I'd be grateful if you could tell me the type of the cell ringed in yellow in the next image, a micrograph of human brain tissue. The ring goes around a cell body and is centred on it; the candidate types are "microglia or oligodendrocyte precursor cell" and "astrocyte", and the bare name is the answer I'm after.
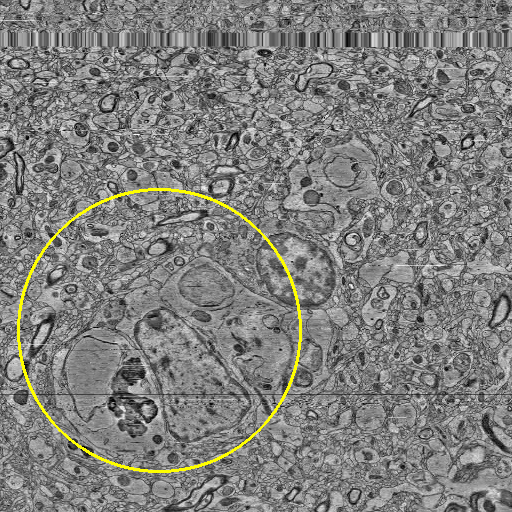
microglia or oligodendrocyte precursor cell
